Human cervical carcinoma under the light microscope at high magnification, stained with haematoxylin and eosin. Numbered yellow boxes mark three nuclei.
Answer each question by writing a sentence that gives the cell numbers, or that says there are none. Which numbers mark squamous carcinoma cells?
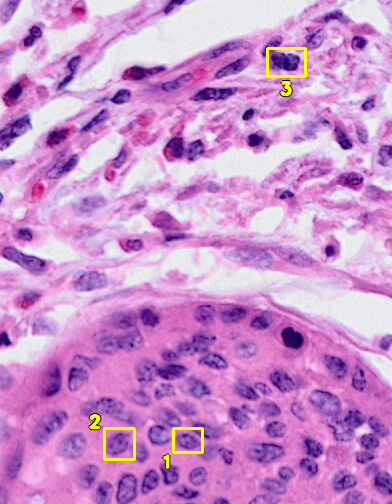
The cells carrying the numbers 1 and 2 are squamous carcinoma cells.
